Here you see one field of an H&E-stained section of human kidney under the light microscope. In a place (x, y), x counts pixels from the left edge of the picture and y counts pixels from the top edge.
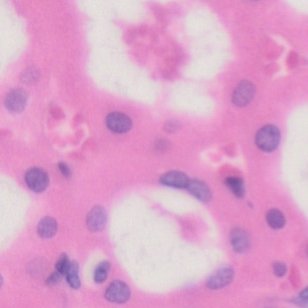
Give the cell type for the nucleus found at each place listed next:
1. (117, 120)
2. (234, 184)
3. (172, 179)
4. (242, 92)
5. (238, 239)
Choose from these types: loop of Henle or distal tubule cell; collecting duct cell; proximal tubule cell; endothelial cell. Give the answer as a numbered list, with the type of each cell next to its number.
1. proximal tubule cell
2. endothelial cell
3. loop of Henle or distal tubule cell
4. proximal tubule cell
5. loop of Henle or distal tubule cell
